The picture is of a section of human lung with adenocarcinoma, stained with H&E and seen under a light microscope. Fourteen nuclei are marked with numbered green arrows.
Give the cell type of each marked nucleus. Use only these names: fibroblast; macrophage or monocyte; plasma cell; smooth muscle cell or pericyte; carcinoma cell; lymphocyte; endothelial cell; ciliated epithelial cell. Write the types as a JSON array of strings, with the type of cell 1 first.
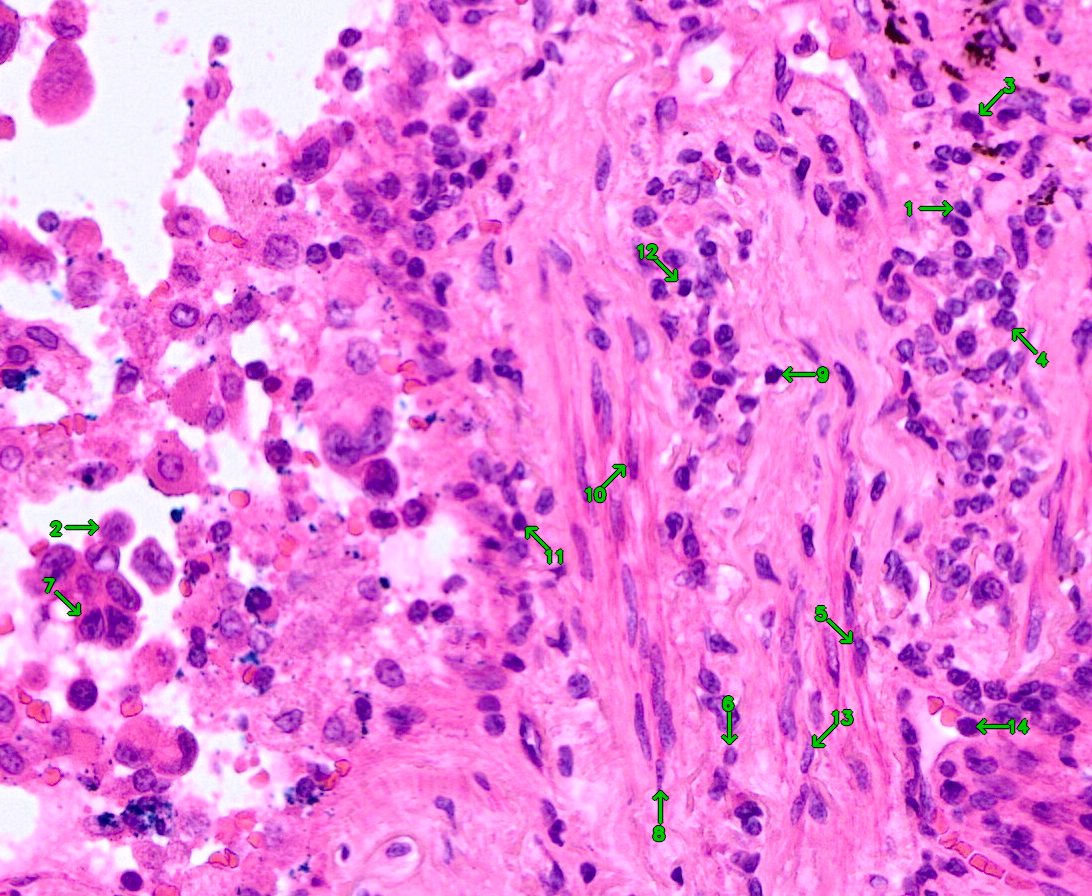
["lymphocyte", "carcinoma cell", "plasma cell", "lymphocyte", "smooth muscle cell or pericyte", "lymphocyte", "carcinoma cell", "smooth muscle cell or pericyte", "lymphocyte", "smooth muscle cell or pericyte", "lymphocyte", "lymphocyte", "smooth muscle cell or pericyte", "lymphocyte"]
